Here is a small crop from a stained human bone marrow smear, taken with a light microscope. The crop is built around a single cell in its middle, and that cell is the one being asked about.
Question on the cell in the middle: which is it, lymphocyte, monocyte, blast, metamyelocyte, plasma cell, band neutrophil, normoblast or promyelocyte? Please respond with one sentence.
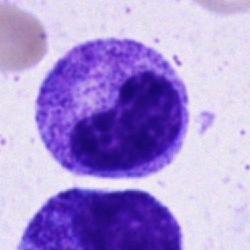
The center cell of this crop is a metamyelocyte.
